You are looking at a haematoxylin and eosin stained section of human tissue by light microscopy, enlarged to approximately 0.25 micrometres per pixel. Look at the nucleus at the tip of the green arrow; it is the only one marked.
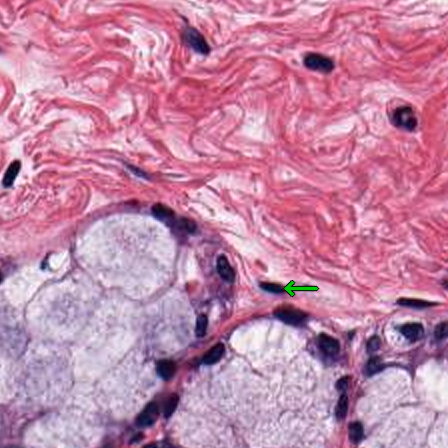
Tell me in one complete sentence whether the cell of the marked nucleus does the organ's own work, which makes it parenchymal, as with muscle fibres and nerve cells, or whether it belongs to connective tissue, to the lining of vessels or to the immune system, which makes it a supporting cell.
The marked nucleus lies in a supporting cell.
